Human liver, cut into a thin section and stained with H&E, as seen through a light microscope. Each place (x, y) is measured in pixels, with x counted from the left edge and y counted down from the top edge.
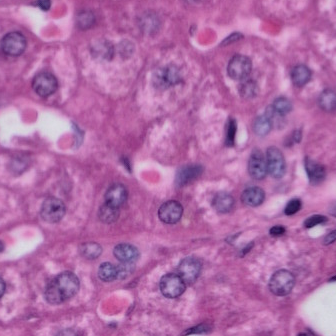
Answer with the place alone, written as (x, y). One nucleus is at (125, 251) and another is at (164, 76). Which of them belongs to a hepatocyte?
(164, 76)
